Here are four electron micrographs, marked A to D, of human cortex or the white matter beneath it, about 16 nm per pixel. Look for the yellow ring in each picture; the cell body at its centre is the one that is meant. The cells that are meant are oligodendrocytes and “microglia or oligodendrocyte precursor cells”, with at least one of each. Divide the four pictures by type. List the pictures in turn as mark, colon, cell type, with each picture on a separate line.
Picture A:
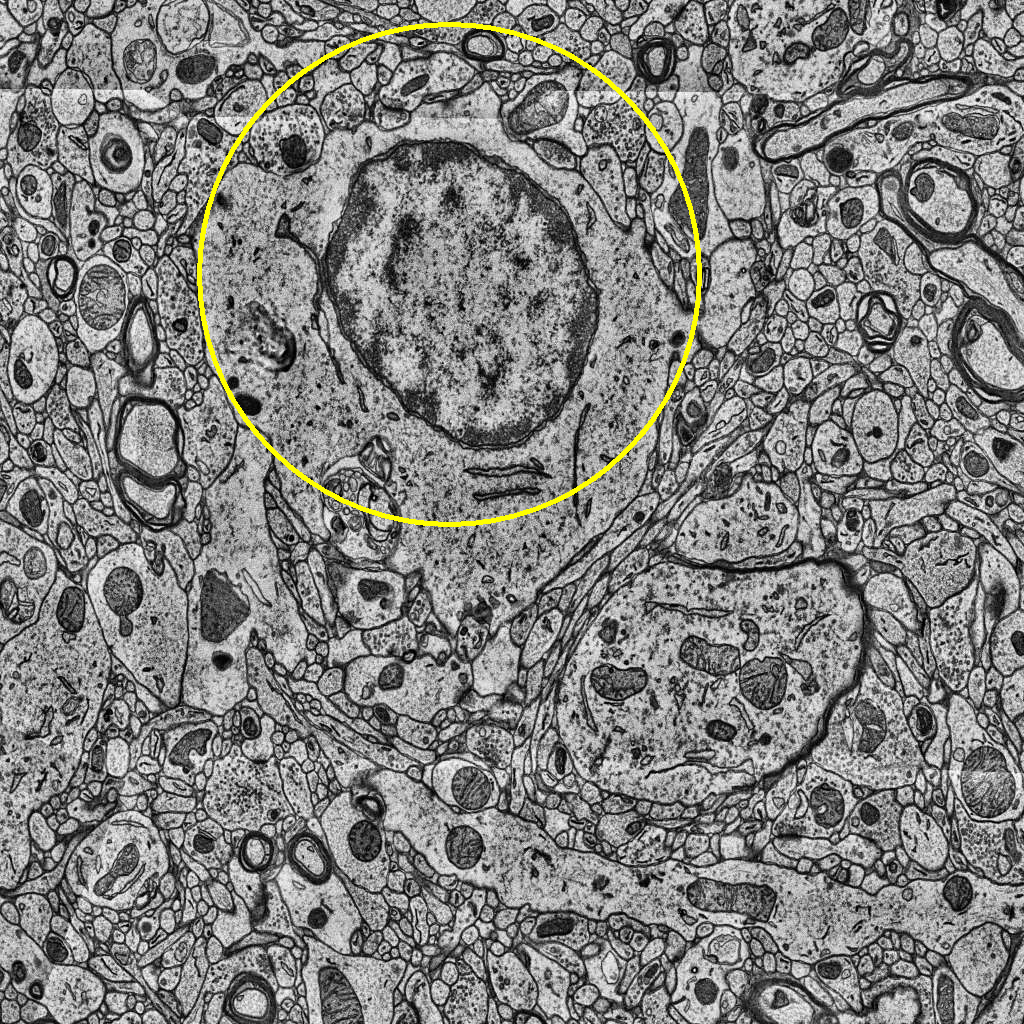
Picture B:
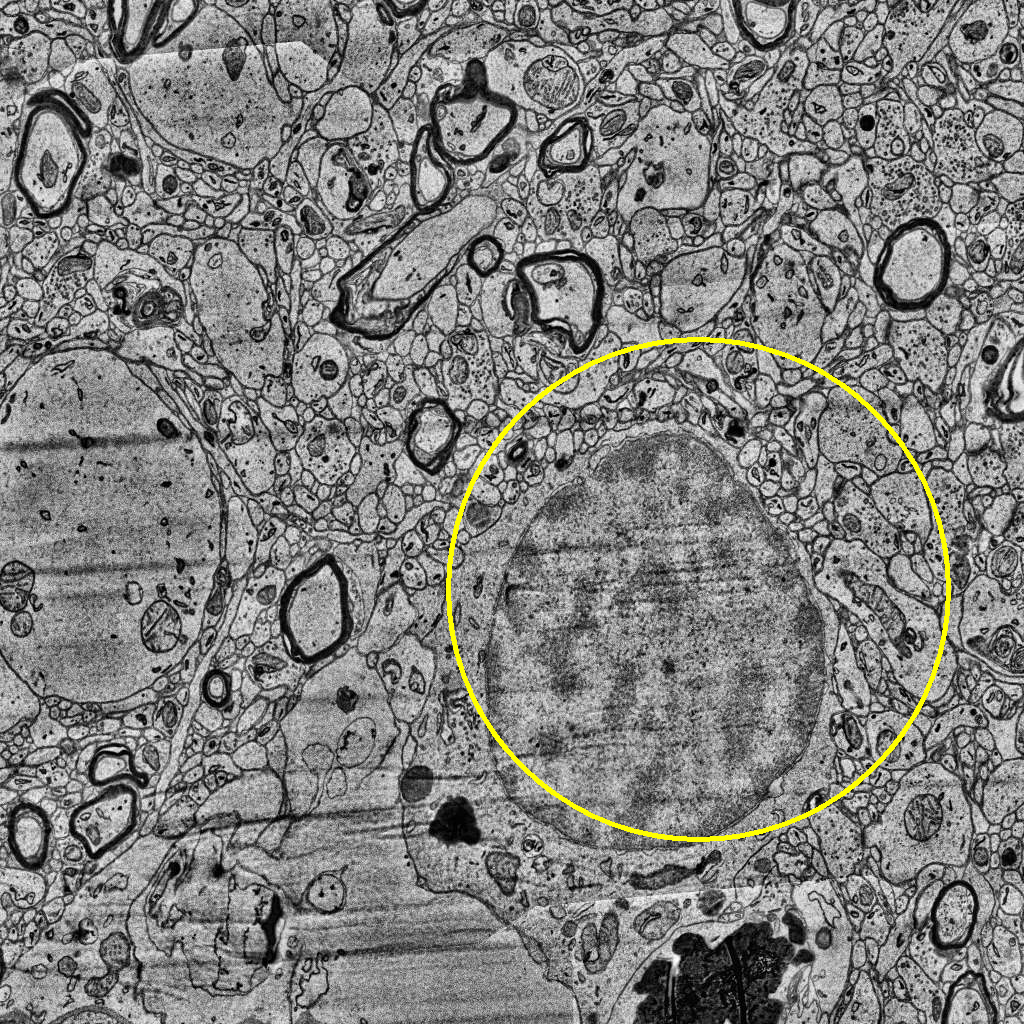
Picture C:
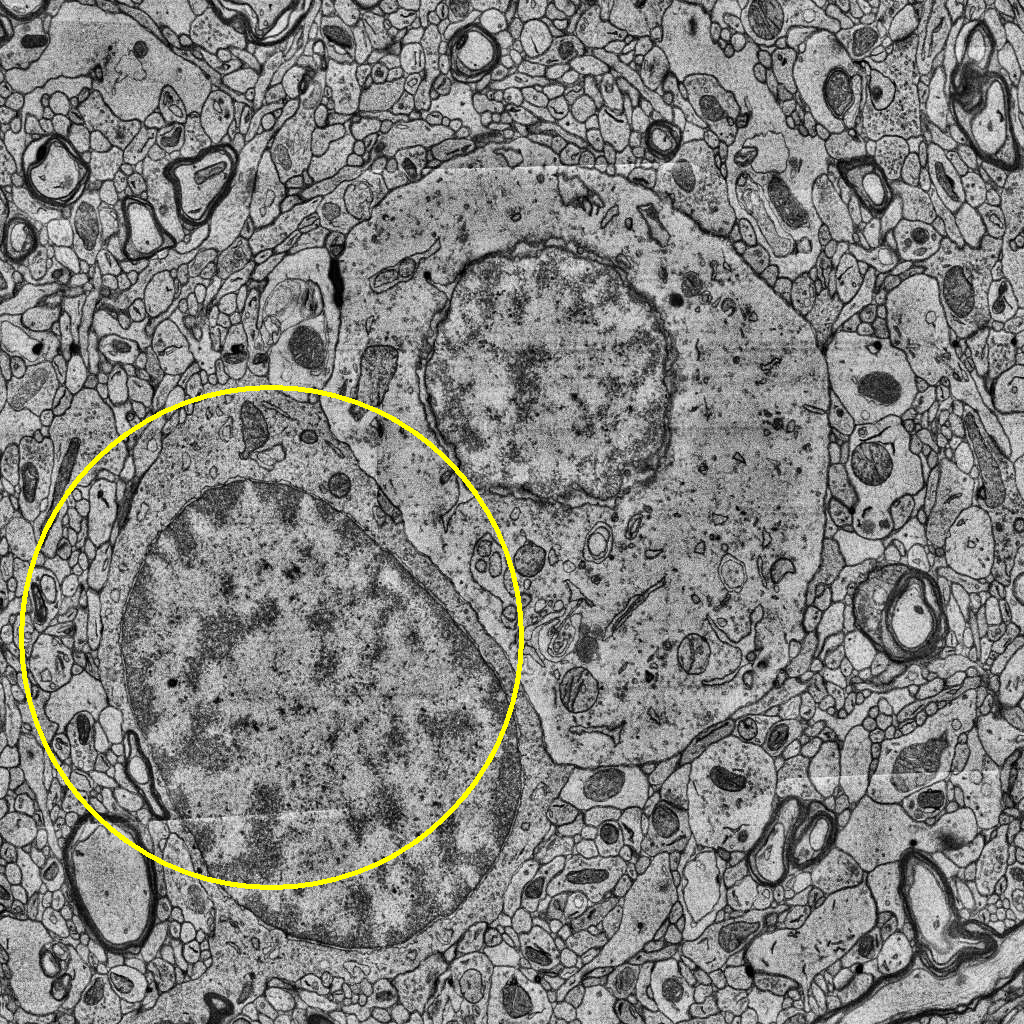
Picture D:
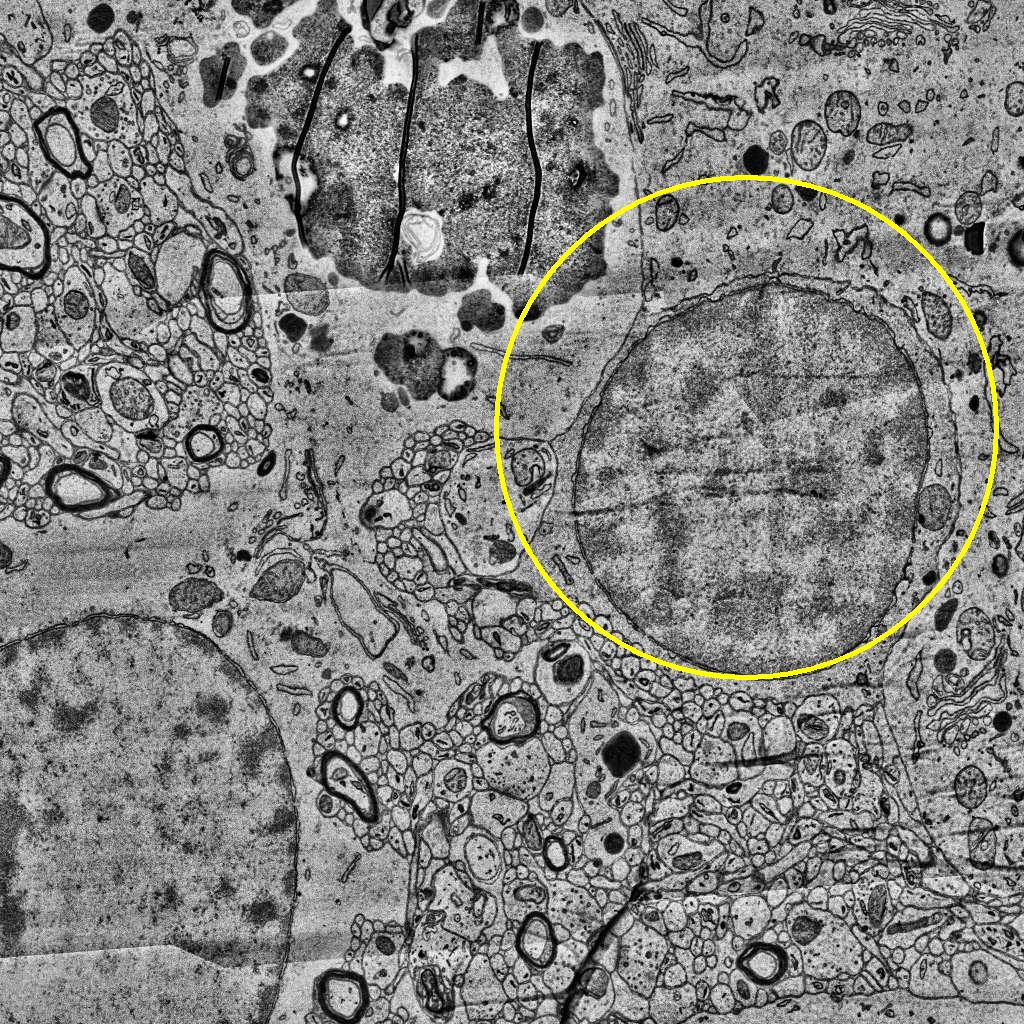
A: microglia or oligodendrocyte precursor cell
B: oligodendrocyte
C: oligodendrocyte
D: oligodendrocyte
